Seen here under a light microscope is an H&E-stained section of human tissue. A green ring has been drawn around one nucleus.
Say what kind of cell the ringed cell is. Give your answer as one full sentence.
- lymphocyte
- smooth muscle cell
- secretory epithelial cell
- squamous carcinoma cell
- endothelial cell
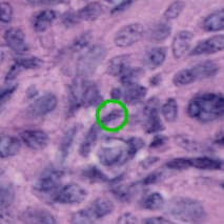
The cell meant here is a squamous carcinoma cell.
